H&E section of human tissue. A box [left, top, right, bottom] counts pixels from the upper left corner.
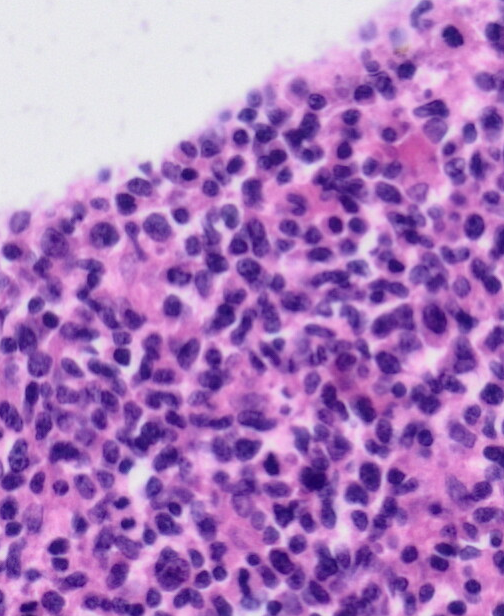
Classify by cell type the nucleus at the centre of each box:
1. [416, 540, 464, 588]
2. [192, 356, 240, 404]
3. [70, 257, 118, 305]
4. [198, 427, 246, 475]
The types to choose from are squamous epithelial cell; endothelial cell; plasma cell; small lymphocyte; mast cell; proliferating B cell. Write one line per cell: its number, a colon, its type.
1: plasma cell
2: proliferating B cell
3: proliferating B cell
4: proliferating B cell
